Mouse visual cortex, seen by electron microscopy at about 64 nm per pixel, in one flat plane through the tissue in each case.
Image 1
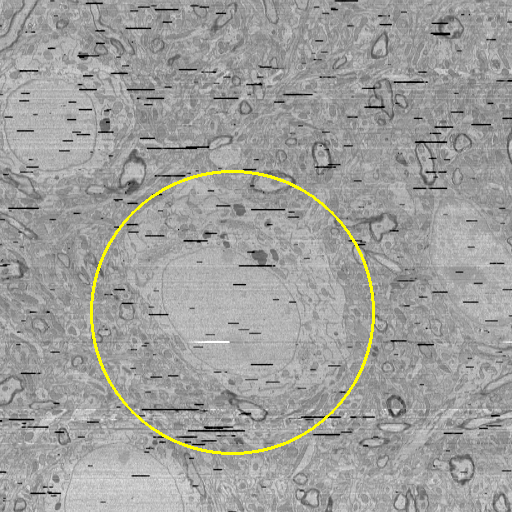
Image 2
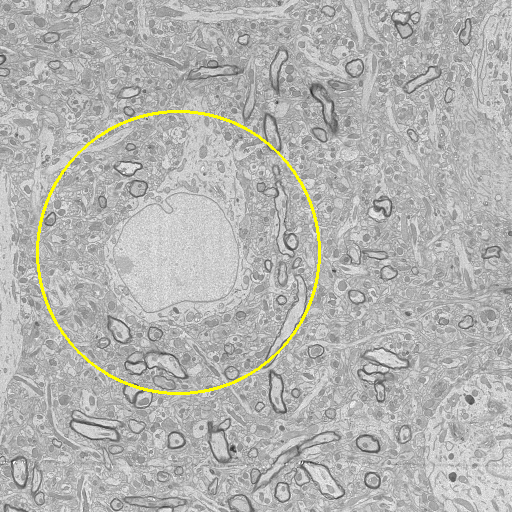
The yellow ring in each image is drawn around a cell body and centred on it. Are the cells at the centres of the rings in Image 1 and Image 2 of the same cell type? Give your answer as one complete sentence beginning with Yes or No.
Yes, both cells are of the same type.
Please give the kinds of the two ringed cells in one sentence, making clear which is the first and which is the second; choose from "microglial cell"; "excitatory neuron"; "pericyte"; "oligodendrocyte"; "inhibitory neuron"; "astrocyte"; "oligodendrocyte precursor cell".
Each of the two pictures has an excitatory neuron at the ring centre.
